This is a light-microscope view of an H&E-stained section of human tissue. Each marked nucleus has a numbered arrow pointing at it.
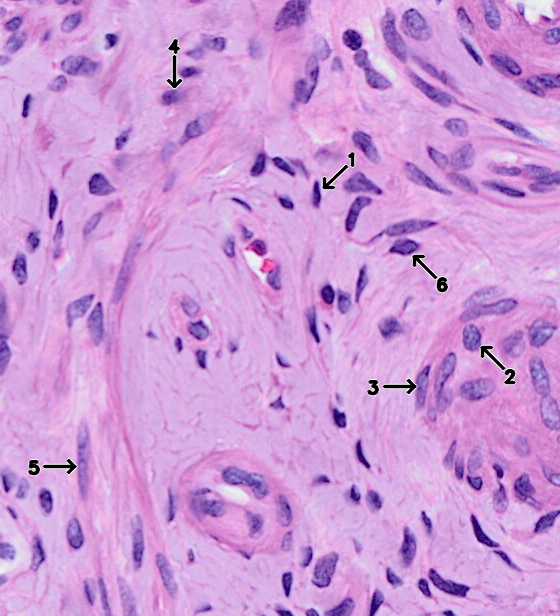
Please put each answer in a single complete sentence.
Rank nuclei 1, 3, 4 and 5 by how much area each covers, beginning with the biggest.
Going from the biggest nucleus down to the smallest gives 5, 3, 4, 1.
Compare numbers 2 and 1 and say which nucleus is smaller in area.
Number 1 is smaller, since number 2 takes up about 2 times as much area.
